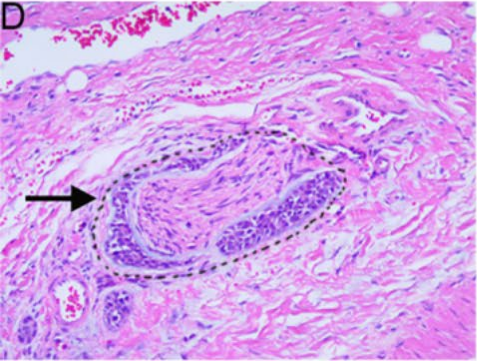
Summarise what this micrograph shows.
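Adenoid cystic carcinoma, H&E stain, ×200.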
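This field shows a small nerve bundle in dense fibrous tissue with tumour cells lying within it. The nerve appears as a bundle of wavy pink fibres with thin, elongated nuclei, outlined here by a dashed oval and pointed at by an arrow. Inside and along this bundle lies a compact cluster of small, crowded cells with dark purple nuclei and little cytoplasm, quite unlike the slender nerve nuclei. Around it the stroma is pale pink collagen with scattered spindle-shaped nuclei. Near the top margin a thin-walled vessel holds red blood cells, and a few small vessels appear lower left.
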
